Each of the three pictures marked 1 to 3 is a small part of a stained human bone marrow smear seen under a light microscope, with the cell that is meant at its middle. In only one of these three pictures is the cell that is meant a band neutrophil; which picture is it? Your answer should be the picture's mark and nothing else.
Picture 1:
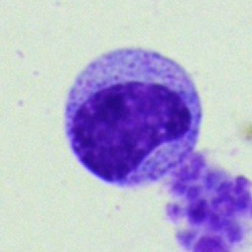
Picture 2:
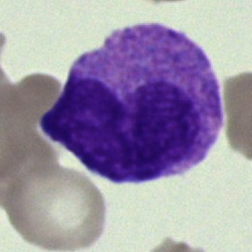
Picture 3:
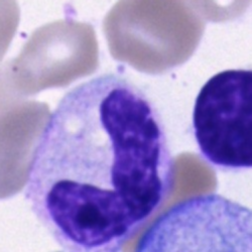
3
